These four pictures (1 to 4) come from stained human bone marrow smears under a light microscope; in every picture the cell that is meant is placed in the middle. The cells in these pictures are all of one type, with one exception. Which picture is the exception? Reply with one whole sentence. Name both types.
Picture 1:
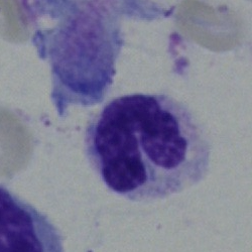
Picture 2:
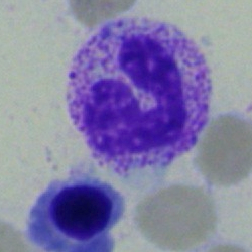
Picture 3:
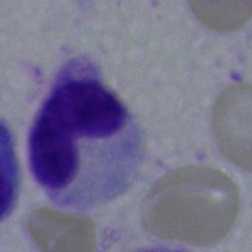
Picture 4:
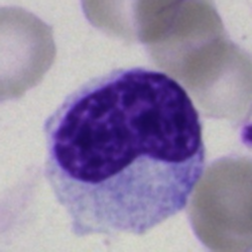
All pictures except 4 show band neutrophils; picture 4 shows a metamyelocyte.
